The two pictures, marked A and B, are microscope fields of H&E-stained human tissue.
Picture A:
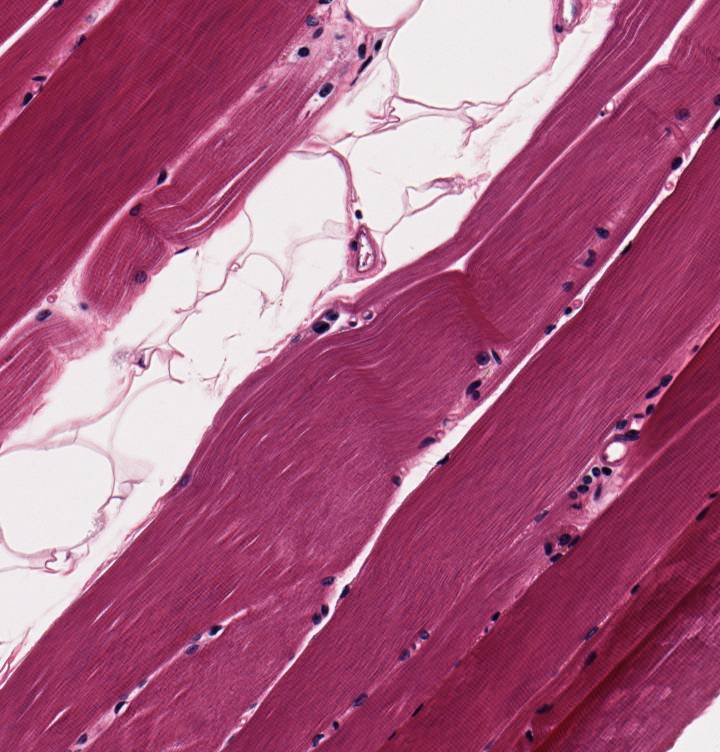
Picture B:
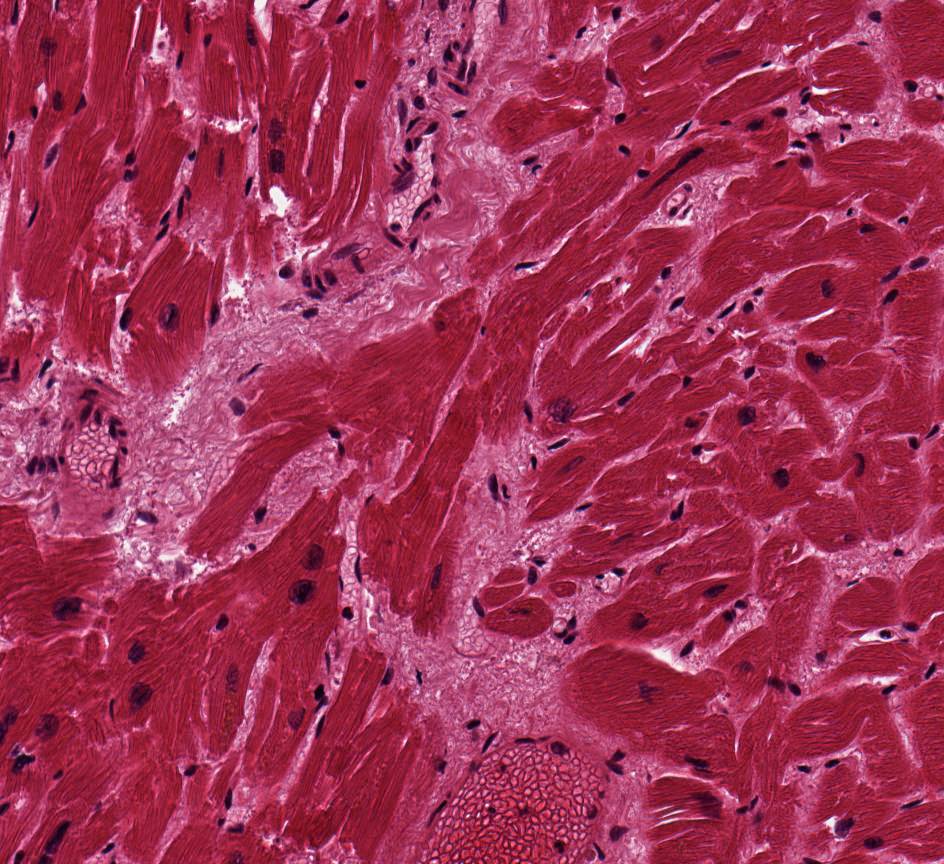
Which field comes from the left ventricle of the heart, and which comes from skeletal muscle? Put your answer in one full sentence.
It is picture A that comes from skeletal muscle, and picture B that comes from the left ventricle of the heart.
